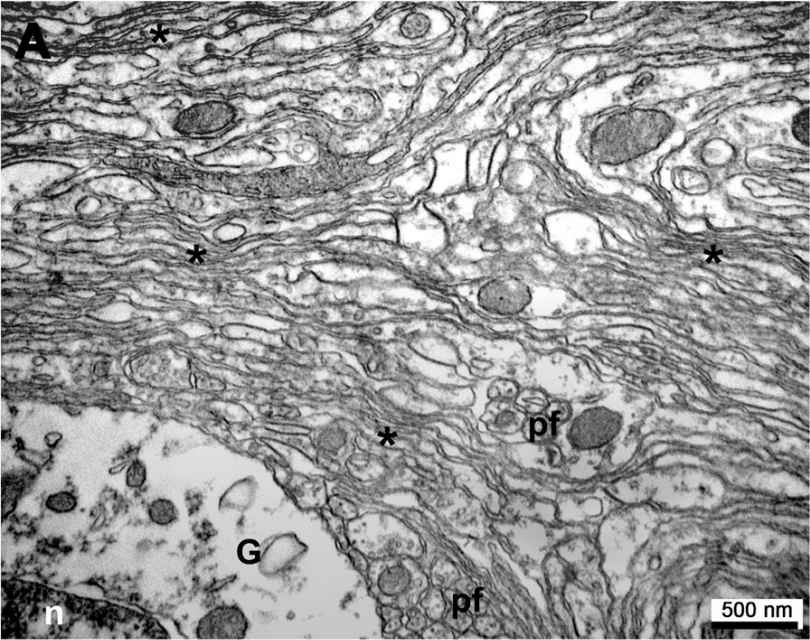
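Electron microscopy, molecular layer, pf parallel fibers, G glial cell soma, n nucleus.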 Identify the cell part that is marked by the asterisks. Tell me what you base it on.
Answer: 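The asterisks sit on bundles of thin, flattened, stacked membrane sheets. These sheets run in parallel layers between the rounder profiles.
Conclusion: astrocytic processes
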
